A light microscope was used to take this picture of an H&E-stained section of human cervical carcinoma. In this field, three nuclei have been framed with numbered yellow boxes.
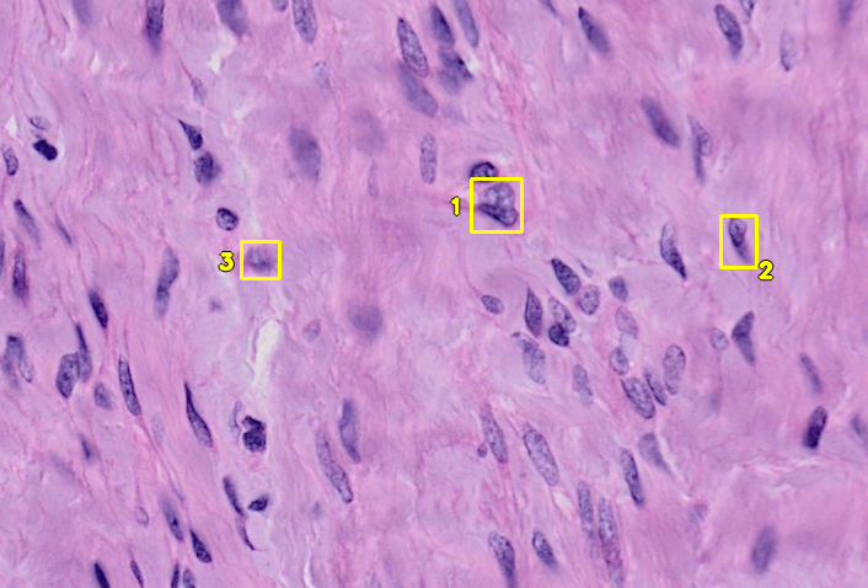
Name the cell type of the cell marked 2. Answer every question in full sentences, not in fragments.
The nucleus with number 2 is that of a fibroblast.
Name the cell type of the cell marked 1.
The numbered cell 1 is identified here as an endothelial cell.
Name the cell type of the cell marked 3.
The correct label for cell 3 is an endothelial cell.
